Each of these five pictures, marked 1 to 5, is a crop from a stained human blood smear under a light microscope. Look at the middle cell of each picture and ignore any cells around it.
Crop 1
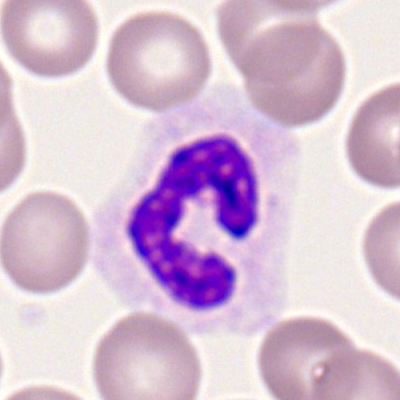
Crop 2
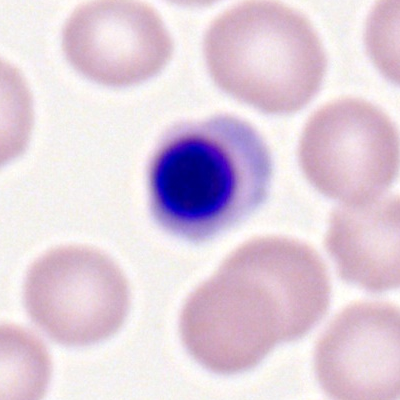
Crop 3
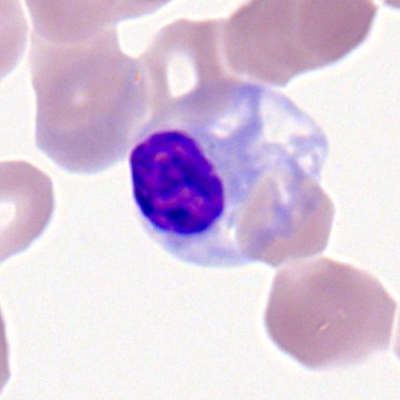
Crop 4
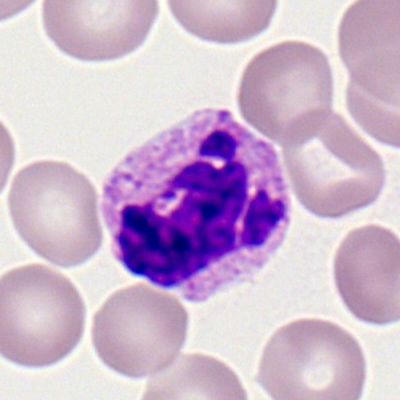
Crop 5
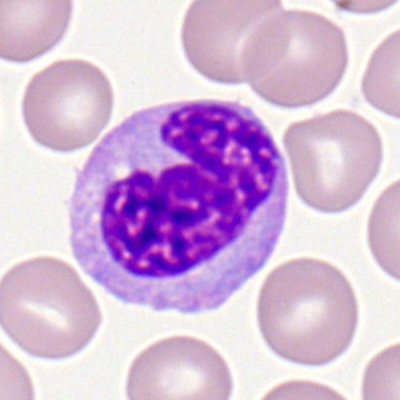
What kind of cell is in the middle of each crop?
1: band neutrophil
2: erythroblast
3: erythroblast
4: basophil
5: monocyte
